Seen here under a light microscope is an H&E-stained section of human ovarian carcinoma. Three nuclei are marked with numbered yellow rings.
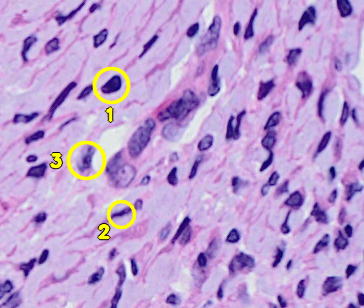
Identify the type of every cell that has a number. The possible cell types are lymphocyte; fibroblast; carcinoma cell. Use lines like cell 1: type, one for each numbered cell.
cell 1: lymphocyte
cell 2: fibroblast
cell 3: fibroblast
